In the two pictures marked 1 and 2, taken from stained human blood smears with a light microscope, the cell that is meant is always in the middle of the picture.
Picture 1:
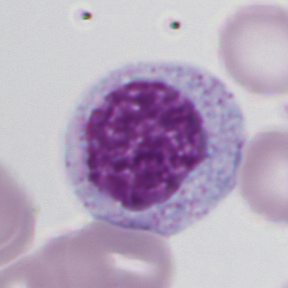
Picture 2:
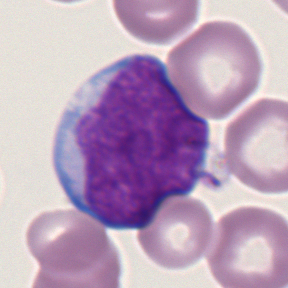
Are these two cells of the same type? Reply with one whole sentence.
No; the cell in picture 1 is a myelocyte, while the one in picture 2 is a myeloblast.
